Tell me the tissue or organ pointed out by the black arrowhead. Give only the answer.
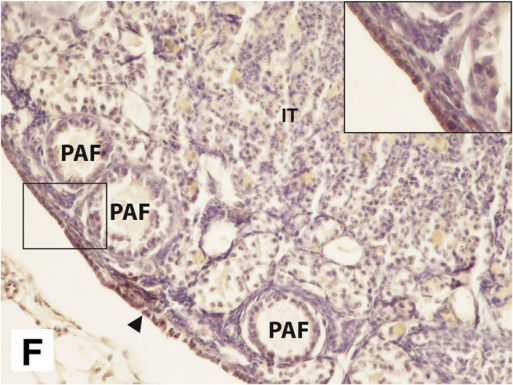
ovarian surface epithelium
